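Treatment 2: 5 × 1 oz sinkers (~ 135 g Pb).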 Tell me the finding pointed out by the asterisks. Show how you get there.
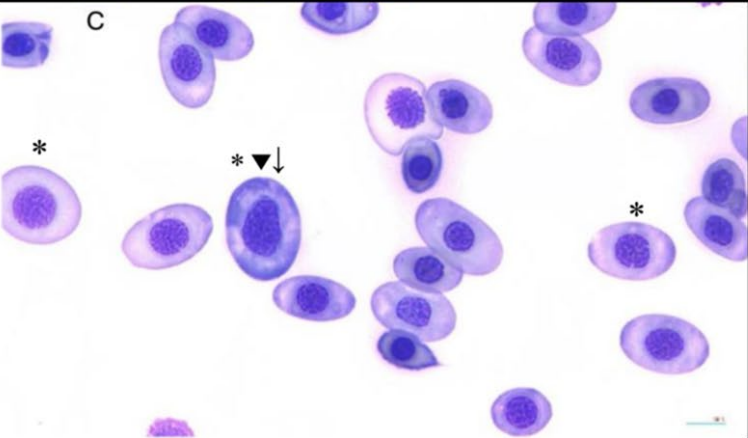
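Their nuclei have open, granular chromatin instead of small dense nuclei. So: enlarged nuclei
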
